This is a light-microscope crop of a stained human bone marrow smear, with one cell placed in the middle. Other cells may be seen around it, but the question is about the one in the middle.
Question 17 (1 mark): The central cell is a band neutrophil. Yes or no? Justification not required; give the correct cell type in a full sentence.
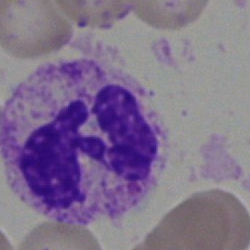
No, rather than being a band neutrophil, the central cell is a segmented neutrophil.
